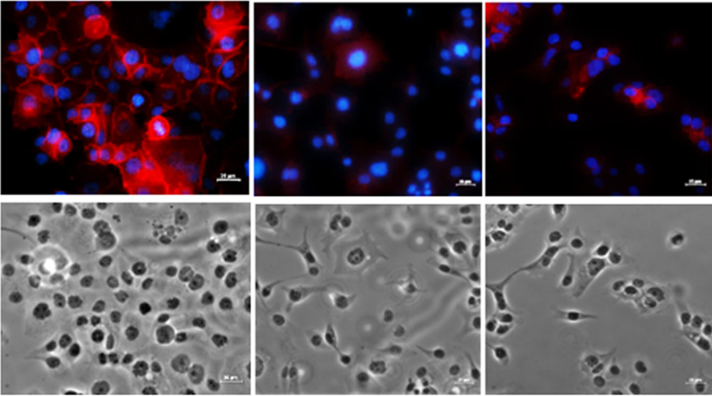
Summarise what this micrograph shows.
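Cultured cells are shown in three columns, with fluorescence images above and phase contrast images below. In the left fluorescence image the cells lie close together in clusters, and a red signal traces the membranes between neighbouring cells, outlining polygonal cell shapes around blue nuclei. In the middle and right fluorescence images the blue nuclei are more scattered and the red outlines at the cell borders are largely missing, with only a few cells still showing red. In the phase contrast image on the left the cells are rounded and densely packed, whereas in the middle and right phase images many cells are spread apart and some are elongated with thin processes.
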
